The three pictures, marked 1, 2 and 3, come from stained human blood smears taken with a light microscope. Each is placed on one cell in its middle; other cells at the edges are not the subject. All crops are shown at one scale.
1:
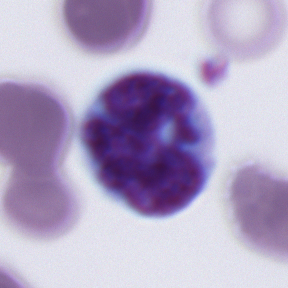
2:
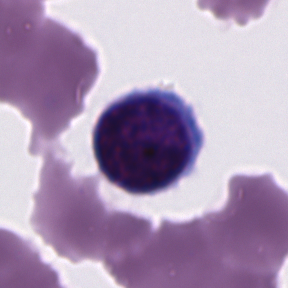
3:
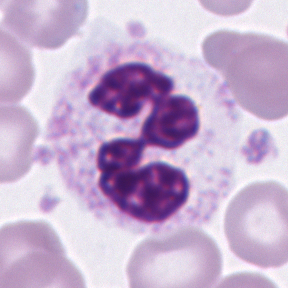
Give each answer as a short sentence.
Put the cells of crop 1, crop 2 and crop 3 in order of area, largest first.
The order is 3, 1, 2, beginning with the largest.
